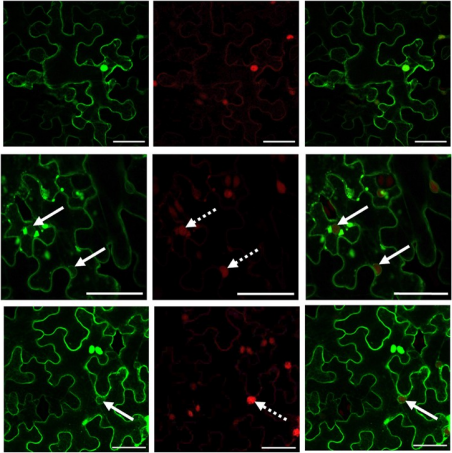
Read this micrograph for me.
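These are plant cells with interlocking, wavy, jigsaw-like outlines, arranged side by side in a flat sheet. Green fluorescence traces the lobed outlines of the cells and, in places, forms bright compact patches. The red channel shows small, rounded, discrete spots, mostly one per cell, with only faint signal elsewhere. In the merged images some of the red spots lie where a green ring or patch surrounds or overlies them, giving a yellowish tone.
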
